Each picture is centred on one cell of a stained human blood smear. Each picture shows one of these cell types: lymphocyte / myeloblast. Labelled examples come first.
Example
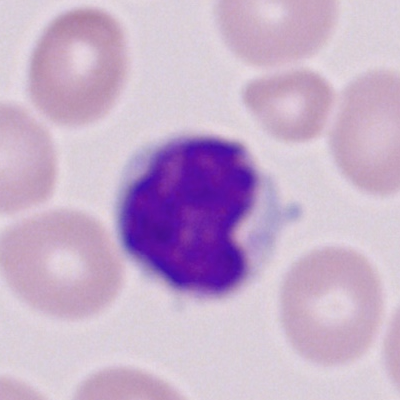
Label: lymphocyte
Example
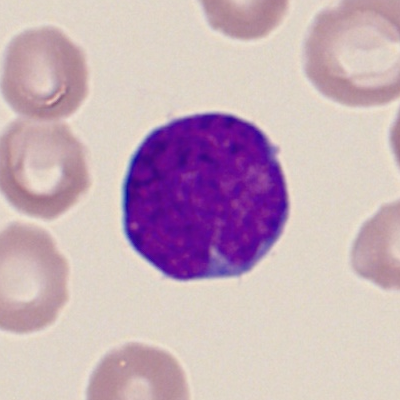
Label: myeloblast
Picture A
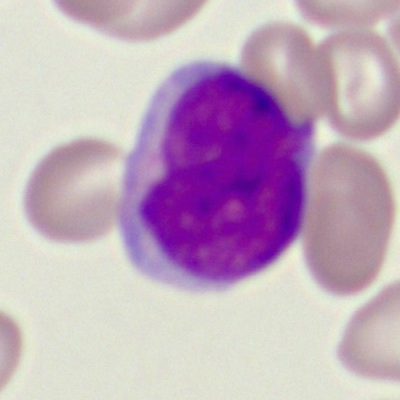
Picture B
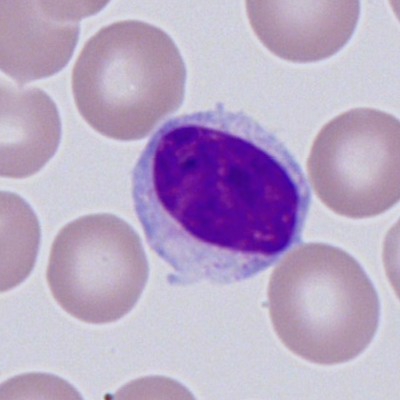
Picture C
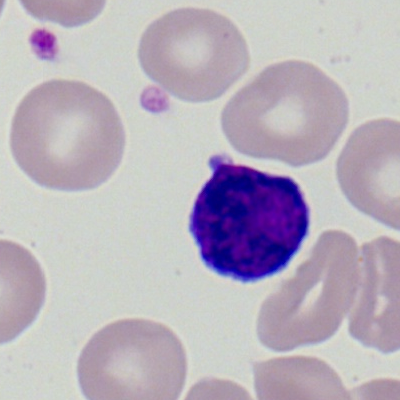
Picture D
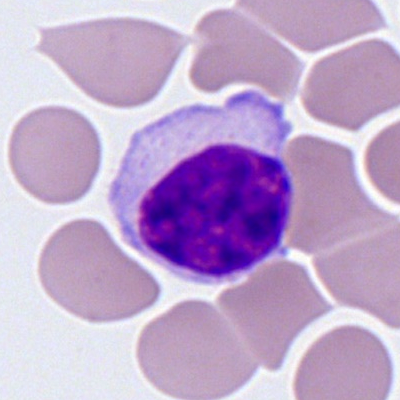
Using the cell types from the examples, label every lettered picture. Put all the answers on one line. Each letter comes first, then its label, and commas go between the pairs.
A myeloblast, B lymphocyte, C lymphocyte, D lymphocyte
